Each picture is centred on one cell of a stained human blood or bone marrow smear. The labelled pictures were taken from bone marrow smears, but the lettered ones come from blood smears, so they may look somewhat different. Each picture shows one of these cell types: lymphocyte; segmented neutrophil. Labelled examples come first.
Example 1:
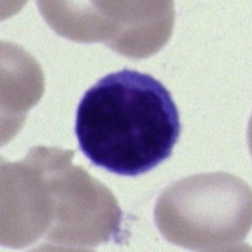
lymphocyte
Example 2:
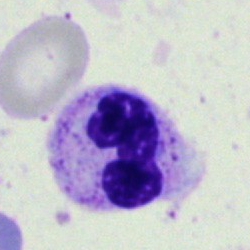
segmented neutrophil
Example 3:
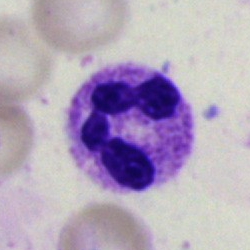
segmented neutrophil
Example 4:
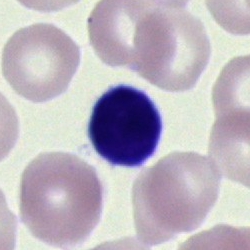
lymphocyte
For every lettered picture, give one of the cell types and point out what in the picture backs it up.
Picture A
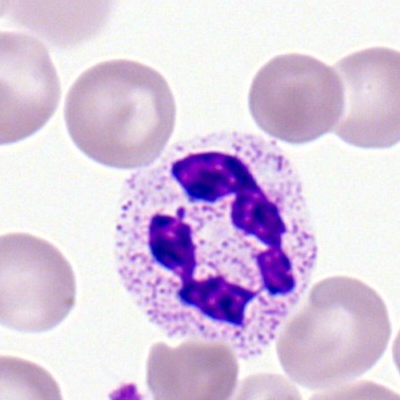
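segmented neutrophil: The cytoplasm is plentiful and pale pinkish-lilac.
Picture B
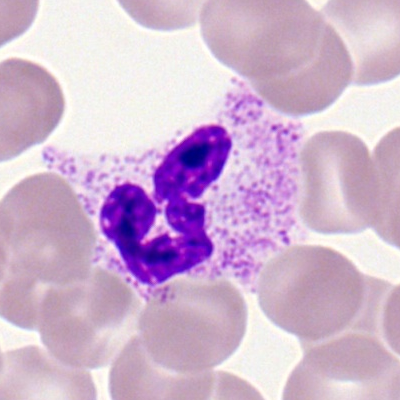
segmented neutrophil: The cytoplasm is abundant and pale pinkish-lilac.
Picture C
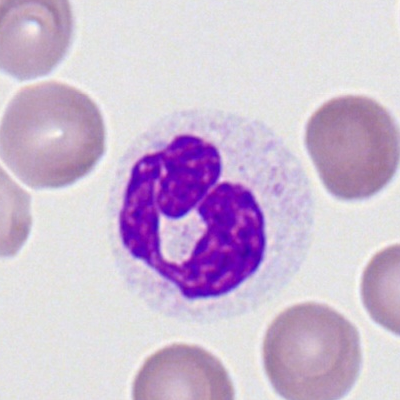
segmented neutrophil: The cytoplasm is plentiful and pale lilac-pink.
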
